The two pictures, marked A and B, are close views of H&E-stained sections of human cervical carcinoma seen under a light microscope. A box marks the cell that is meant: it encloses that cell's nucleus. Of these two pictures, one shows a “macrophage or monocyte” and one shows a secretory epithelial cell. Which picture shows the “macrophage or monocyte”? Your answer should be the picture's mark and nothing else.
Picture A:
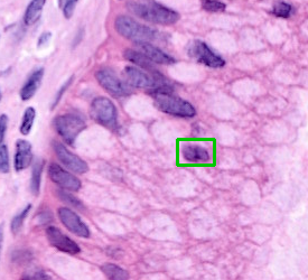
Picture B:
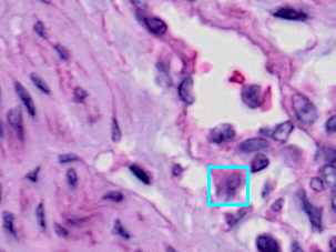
B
